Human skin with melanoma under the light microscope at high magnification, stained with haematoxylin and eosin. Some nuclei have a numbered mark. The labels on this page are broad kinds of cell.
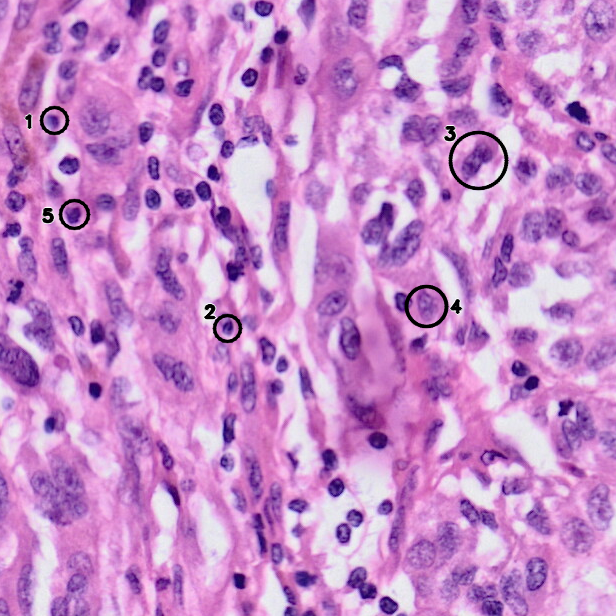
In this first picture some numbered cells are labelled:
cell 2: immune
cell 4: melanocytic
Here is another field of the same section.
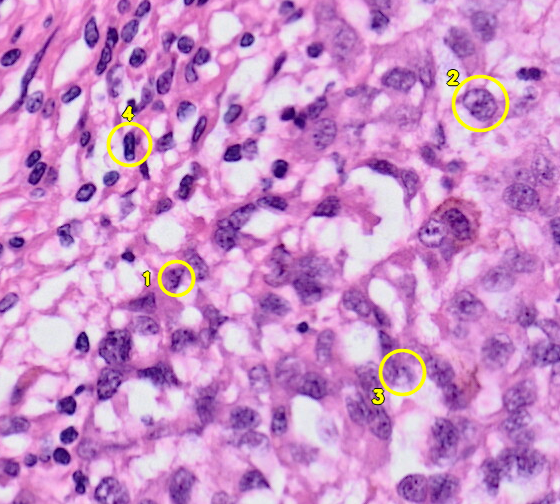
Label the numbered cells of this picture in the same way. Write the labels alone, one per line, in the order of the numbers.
melanocytic
melanocytic
melanocytic
immune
